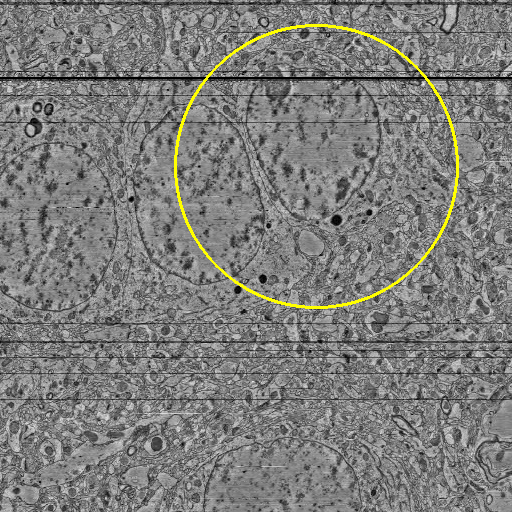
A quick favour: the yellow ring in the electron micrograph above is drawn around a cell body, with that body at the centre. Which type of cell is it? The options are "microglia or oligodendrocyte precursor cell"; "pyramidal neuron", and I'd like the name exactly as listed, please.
pyramidal neuron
